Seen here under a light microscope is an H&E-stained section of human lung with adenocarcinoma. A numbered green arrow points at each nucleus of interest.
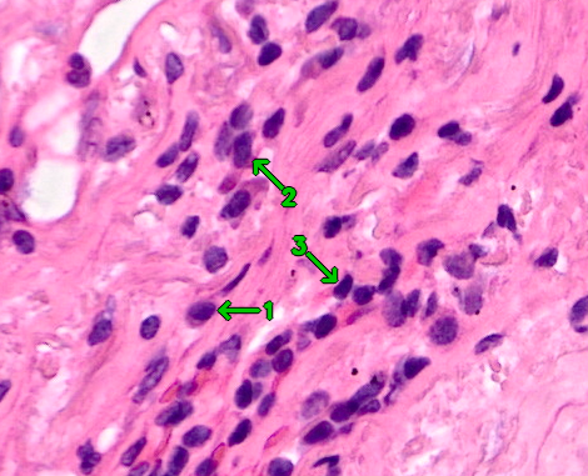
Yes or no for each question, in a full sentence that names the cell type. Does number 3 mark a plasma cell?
No, the cell carrying number 3 is a lymphocyte rather than a plasma cell.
